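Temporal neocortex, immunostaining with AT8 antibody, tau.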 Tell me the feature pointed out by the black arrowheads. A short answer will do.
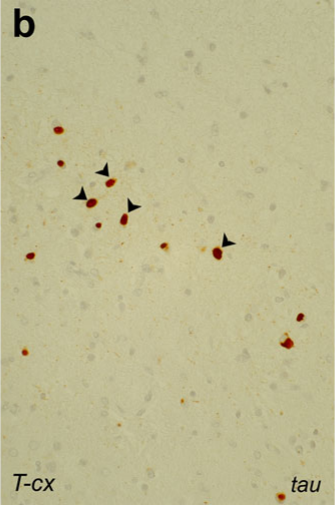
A: Pick bodies.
